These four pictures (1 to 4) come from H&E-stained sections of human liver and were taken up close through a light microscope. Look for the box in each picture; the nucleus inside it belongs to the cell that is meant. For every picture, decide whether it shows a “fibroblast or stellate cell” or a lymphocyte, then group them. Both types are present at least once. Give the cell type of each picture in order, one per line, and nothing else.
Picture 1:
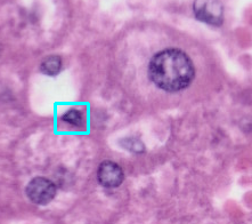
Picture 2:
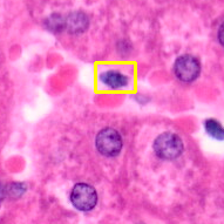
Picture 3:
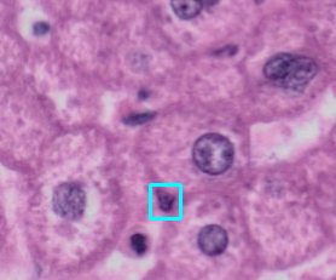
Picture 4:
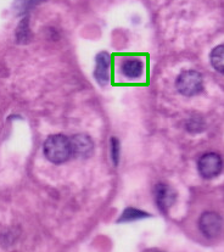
fibroblast or stellate cell
lymphocyte
fibroblast or stellate cell
lymphocyte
